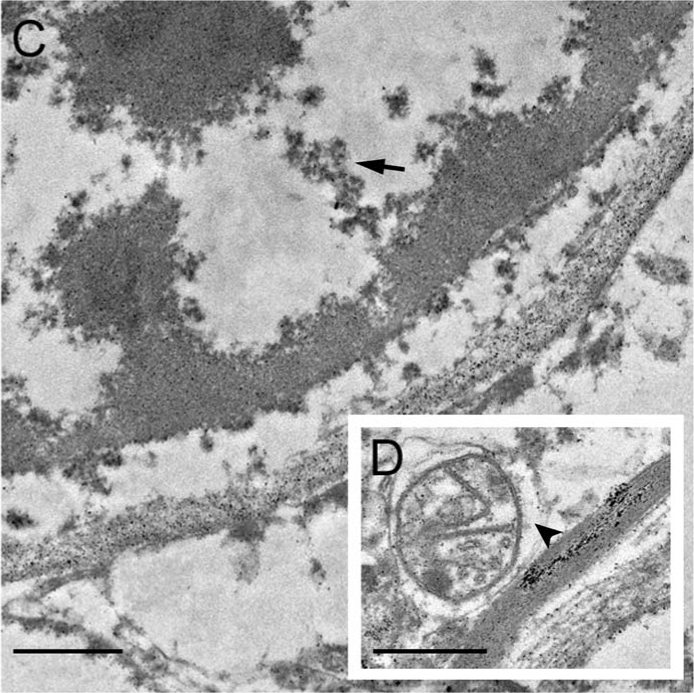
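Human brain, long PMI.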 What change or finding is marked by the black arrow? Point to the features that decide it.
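The chromatin within the nuclei turns coarse. The arrow points to irregular dark granular clumps. Large dense masses alternate with pale, nearly empty regions. The dark material forms a thick band along the curved edge of the compartment.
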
